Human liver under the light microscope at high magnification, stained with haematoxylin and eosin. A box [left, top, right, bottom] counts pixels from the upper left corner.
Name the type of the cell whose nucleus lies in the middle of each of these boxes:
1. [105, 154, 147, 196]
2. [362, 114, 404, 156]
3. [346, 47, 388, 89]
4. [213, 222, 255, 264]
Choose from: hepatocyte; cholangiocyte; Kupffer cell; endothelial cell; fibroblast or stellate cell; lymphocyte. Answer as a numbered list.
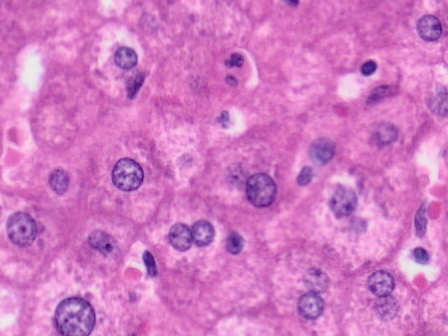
1. hepatocyte
2. hepatocyte
3. lymphocyte
4. endothelial cell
